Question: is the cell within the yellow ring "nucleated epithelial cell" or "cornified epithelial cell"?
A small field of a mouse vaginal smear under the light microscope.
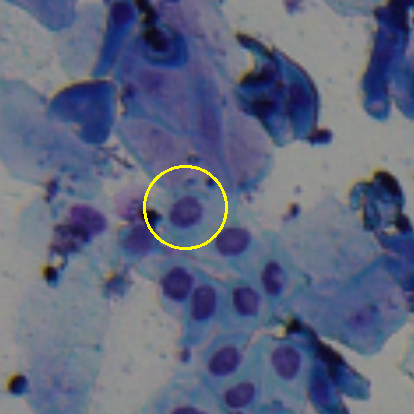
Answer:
nucleated epithelial cell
